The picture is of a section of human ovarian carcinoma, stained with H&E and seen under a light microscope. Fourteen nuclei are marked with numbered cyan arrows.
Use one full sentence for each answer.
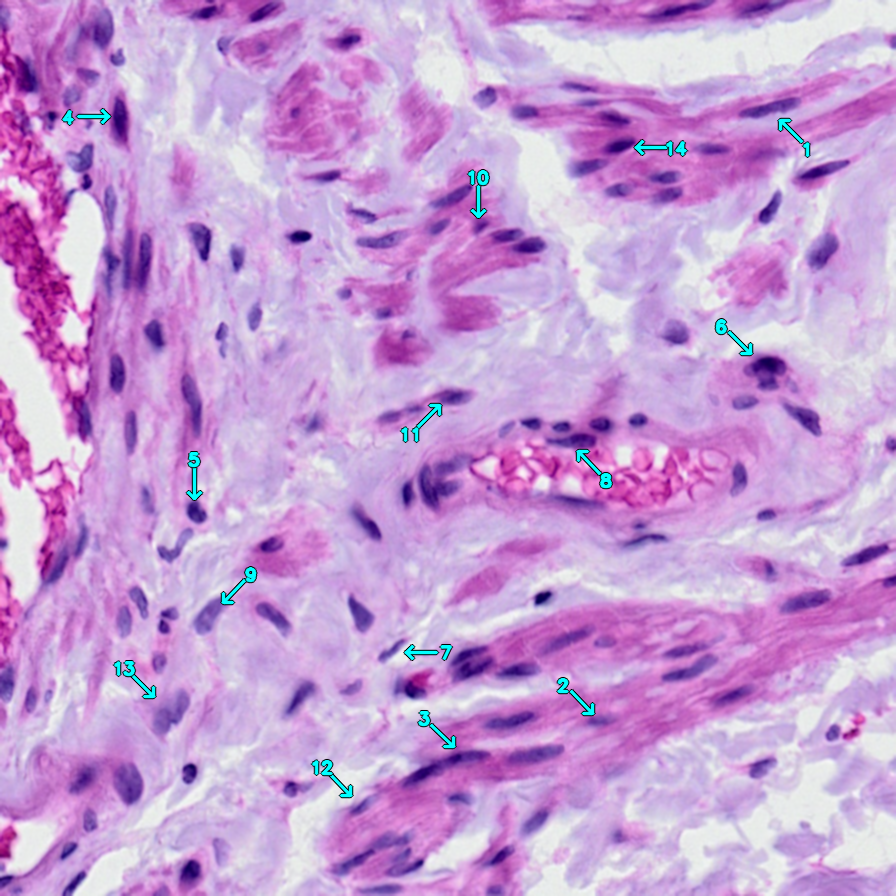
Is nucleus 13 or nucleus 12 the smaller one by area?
The smaller nucleus is 12, and 13 covers roughly 3 times its area.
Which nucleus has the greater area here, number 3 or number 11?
Nucleus 3 is the larger one, covering about 2 times the area of nucleus 11.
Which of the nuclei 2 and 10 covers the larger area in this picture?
The larger nucleus is 2, at roughly 1.5 times the area of 10.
